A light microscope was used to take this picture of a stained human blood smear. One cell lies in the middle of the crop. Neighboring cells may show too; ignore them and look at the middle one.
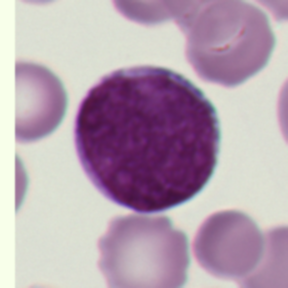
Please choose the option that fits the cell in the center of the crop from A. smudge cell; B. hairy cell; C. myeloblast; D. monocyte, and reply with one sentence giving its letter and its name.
The cell in the center of this crop is a myeloblast, so option C is the one to pick.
